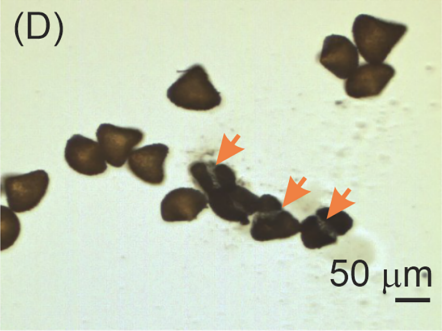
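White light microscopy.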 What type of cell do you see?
Spores.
